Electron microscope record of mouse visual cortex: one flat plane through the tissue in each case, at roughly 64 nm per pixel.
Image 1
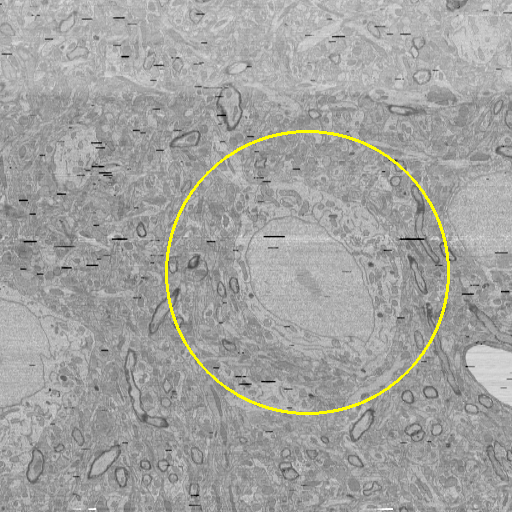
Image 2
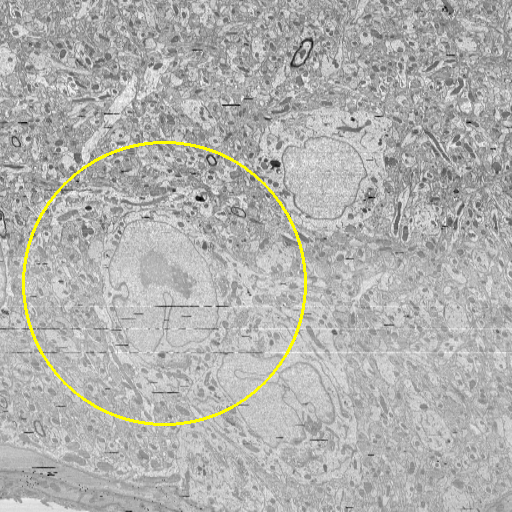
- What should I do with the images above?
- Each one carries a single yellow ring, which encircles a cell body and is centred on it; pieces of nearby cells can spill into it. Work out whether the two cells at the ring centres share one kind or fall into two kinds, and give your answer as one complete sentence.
The ring-centre cells of Image 1 and Image 2 share one kind.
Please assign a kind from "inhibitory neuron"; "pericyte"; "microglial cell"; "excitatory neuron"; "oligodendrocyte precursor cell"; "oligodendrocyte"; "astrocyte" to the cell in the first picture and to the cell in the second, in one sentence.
Each of the ringed cells, first and second, is an inhibitory neuron.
